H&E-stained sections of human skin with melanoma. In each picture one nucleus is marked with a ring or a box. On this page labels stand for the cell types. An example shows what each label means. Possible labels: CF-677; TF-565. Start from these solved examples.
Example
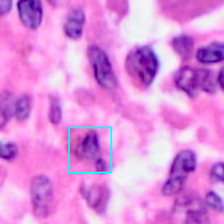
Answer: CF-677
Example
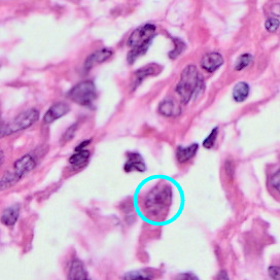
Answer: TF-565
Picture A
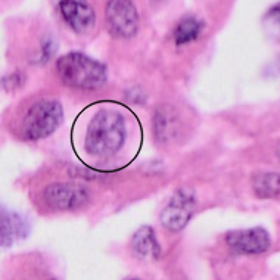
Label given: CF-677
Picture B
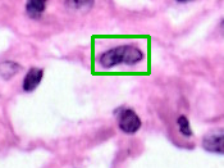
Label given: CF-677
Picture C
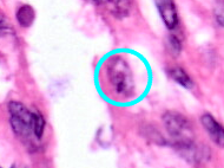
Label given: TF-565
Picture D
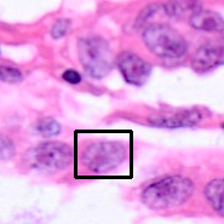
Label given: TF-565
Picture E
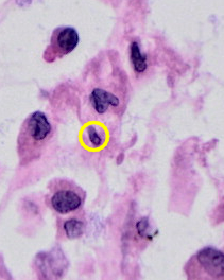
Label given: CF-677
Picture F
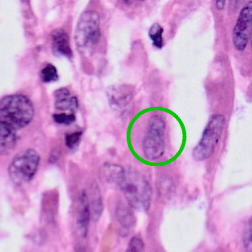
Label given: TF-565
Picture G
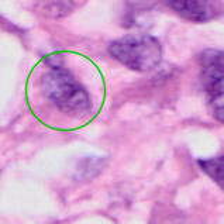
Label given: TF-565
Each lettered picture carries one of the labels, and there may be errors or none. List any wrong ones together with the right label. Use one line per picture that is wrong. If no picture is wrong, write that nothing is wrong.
A: change CF-677 to TF-565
